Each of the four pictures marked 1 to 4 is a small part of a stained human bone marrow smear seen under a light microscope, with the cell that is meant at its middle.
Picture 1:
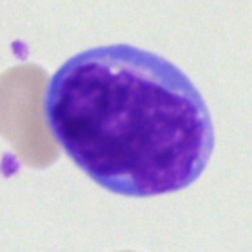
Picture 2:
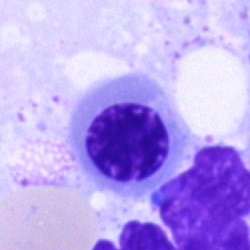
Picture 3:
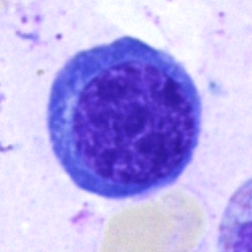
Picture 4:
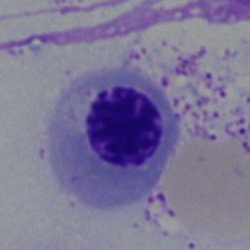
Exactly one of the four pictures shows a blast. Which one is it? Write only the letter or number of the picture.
1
